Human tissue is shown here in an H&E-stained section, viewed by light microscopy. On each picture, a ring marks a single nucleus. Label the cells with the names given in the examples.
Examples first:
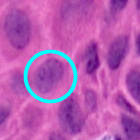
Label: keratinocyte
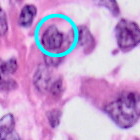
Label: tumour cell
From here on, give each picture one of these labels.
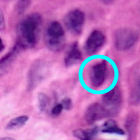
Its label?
keratinocyte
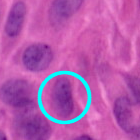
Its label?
keratinocyte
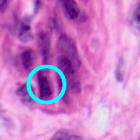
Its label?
keratinocyte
